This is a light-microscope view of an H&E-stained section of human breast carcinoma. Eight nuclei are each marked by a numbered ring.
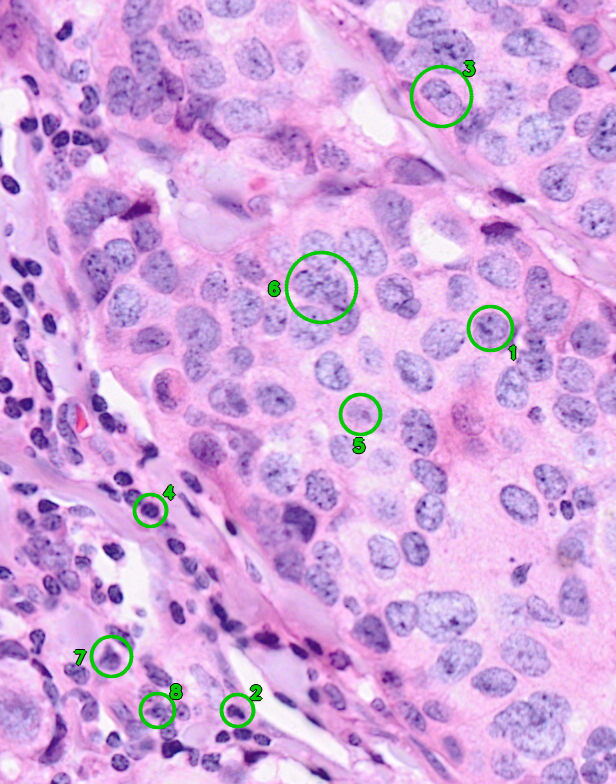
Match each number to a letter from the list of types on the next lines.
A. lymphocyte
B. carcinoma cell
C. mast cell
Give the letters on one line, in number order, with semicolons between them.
B; A; B; A; B; B; A; A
